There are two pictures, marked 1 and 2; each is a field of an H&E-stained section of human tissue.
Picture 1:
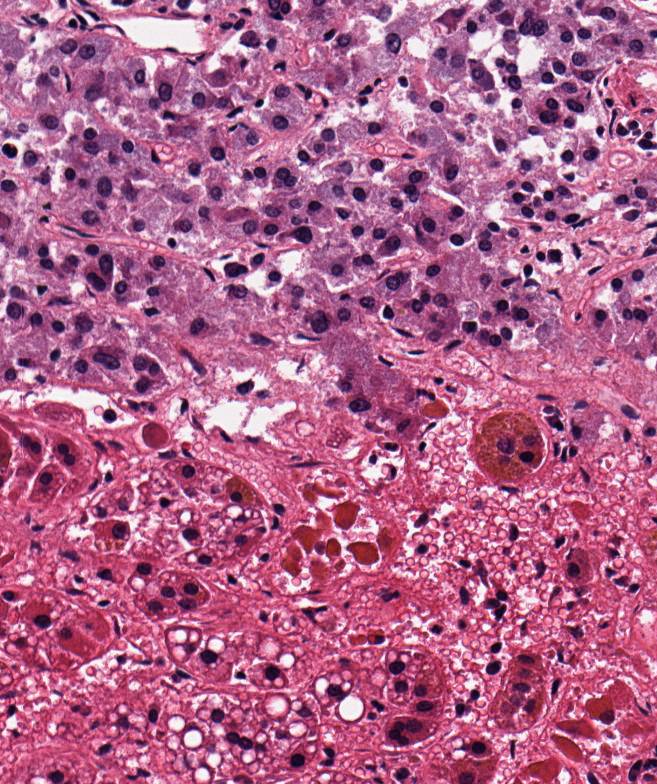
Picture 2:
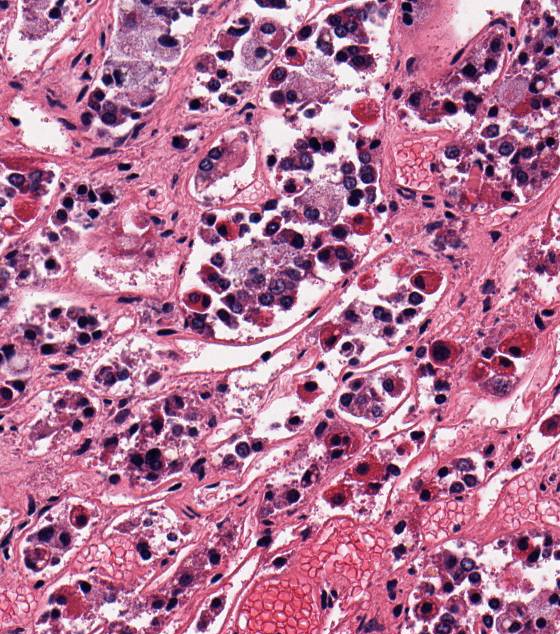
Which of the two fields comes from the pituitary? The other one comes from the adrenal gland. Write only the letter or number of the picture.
2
